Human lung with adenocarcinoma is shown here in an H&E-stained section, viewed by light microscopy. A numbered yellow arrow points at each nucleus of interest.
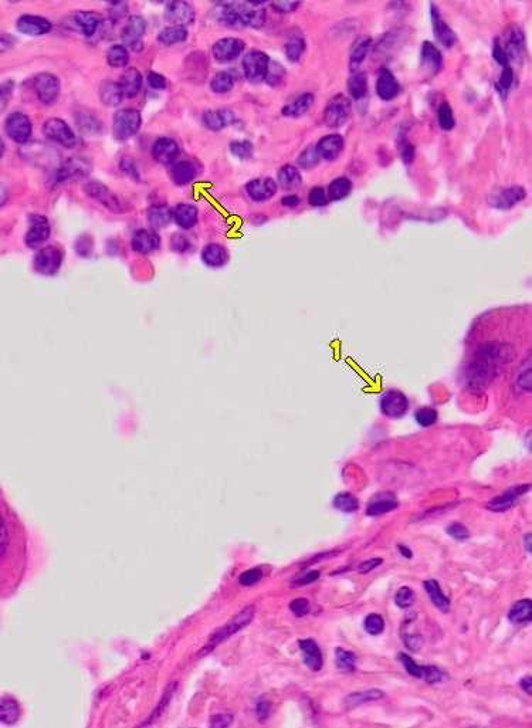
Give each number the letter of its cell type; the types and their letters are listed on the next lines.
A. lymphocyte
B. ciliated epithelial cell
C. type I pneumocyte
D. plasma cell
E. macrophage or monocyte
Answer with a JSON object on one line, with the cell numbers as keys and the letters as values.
{"1": "A", "2": "D"}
